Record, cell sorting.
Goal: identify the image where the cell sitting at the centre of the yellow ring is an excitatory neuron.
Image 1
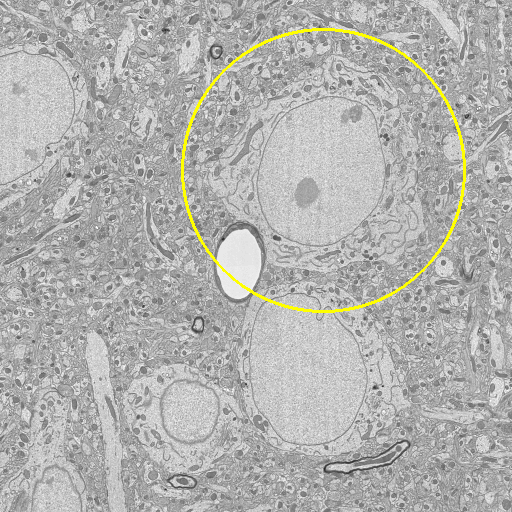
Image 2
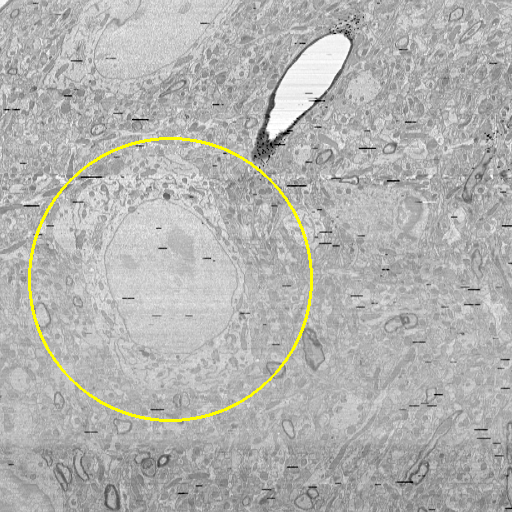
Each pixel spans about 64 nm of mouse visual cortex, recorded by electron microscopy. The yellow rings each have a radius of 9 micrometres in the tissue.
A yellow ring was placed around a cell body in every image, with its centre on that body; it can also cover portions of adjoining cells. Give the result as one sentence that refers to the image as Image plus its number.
Image 1 shows the requested cell sitting right at the centre of its ring.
